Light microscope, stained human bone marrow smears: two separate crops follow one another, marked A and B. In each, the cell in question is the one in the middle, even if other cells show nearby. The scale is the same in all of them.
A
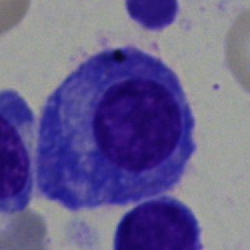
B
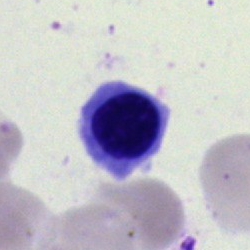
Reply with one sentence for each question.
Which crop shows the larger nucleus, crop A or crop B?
It is the nucleus in crop A, about 2 times as large in area as the one in crop B.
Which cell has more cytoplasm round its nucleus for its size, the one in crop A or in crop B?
In crop A the nucleus takes up the smaller part of its cell.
